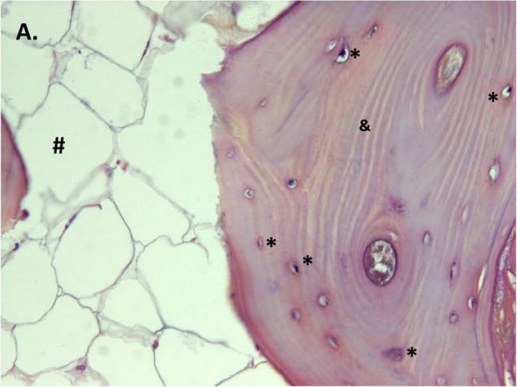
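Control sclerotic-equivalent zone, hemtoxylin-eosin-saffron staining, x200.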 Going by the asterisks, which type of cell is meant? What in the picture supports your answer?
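Intact osteocyte. Small cells with dark nuclei sit in lacunae within pink lamellar bone.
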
